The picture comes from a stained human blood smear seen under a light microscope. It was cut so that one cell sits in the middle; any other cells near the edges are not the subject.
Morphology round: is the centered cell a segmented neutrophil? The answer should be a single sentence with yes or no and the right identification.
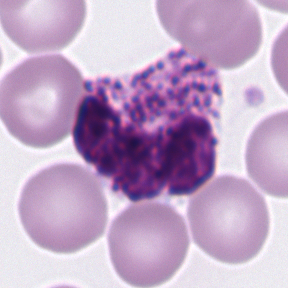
No, what occupies the middle of the crop is a basophil and not a segmented neutrophil.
